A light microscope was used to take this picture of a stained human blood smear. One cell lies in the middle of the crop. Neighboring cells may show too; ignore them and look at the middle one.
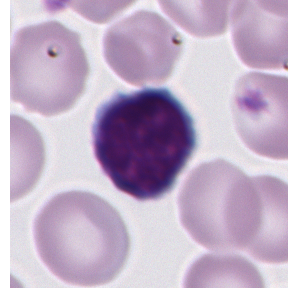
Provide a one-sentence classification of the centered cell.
This crop has a typical lymphocyte at its centre.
